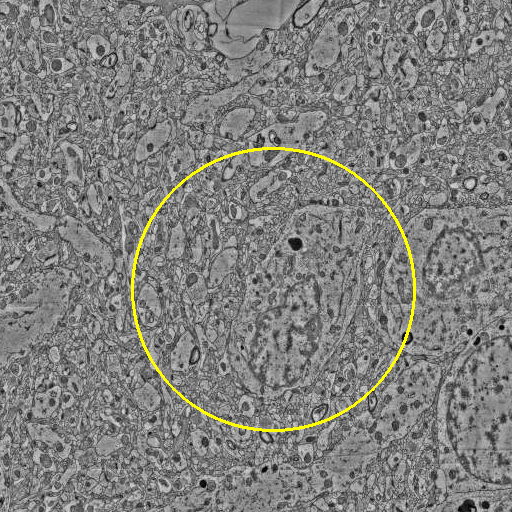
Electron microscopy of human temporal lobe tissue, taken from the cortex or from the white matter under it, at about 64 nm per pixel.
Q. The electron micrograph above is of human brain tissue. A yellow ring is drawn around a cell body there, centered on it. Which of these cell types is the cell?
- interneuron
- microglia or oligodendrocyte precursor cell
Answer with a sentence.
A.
The cell under the ring's center is an interneuron.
